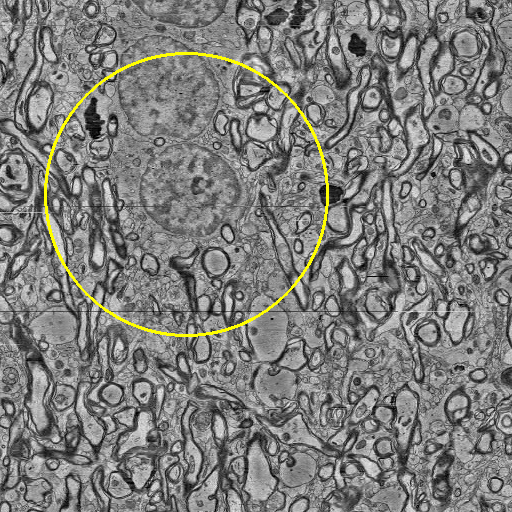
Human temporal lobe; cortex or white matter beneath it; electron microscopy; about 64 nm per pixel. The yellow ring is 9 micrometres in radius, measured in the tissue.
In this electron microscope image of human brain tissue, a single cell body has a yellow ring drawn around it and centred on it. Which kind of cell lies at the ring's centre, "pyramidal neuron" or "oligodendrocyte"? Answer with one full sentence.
It is an oligodendrocyte whose cell body lies at the centre of the yellow ring here.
